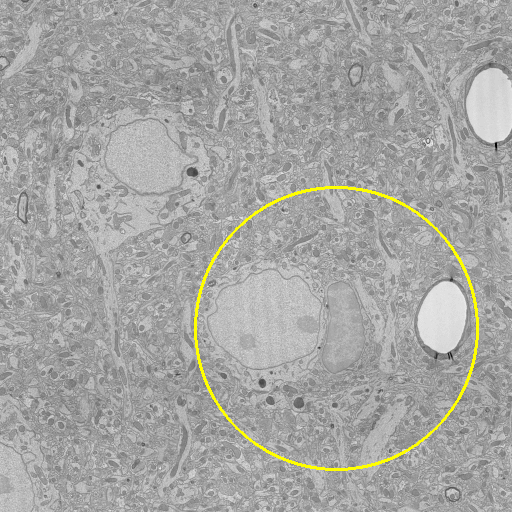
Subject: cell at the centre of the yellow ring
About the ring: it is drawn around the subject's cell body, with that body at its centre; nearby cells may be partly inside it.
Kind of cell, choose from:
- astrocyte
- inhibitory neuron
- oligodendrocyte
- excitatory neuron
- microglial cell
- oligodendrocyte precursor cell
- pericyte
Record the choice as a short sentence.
The subject cell is a microglial cell.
